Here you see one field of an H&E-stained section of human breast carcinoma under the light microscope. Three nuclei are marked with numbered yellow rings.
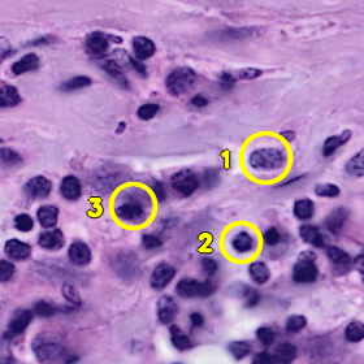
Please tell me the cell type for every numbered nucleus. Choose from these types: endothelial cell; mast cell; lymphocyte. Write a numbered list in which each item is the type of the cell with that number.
1. mast cell
2. lymphocyte
3. lymphocyte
